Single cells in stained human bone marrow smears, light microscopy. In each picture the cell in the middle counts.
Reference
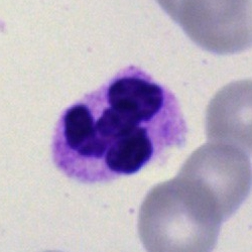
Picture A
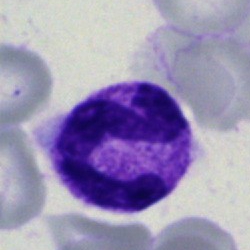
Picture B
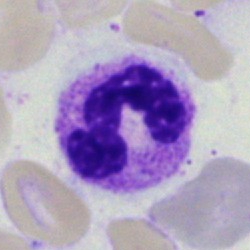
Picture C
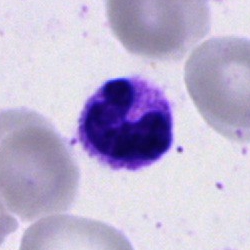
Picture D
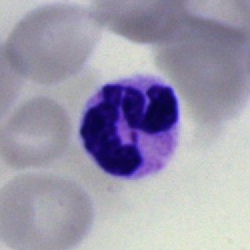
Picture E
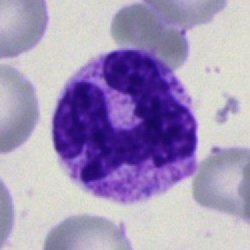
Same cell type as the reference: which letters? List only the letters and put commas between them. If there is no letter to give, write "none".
A, B, C, D, E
